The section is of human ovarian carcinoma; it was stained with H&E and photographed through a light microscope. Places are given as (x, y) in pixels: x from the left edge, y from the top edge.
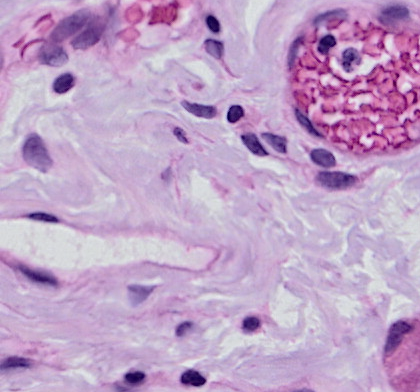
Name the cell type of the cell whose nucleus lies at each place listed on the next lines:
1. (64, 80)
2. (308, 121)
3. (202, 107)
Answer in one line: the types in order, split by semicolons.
lymphocyte; endothelial cell; fibroblast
